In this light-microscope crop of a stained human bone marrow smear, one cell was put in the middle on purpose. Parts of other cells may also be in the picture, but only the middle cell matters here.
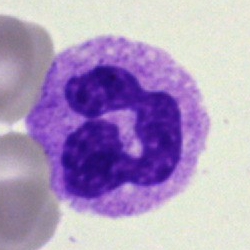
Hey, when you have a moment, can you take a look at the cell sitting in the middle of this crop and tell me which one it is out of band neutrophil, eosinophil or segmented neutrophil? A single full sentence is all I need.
The central cell shown in this smear crop is a segmented neutrophil.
